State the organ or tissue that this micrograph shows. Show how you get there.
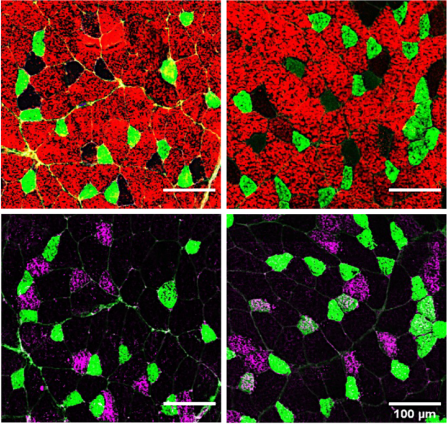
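Each profile is separated from its neighbours by a thin outline. Profiles differ from one another in colour, forming a mosaic.
Hence: muscle.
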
